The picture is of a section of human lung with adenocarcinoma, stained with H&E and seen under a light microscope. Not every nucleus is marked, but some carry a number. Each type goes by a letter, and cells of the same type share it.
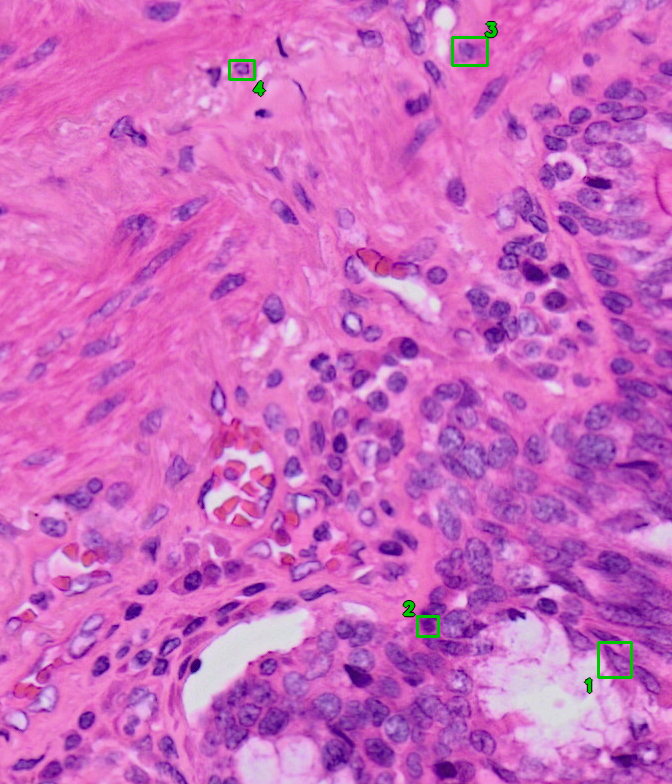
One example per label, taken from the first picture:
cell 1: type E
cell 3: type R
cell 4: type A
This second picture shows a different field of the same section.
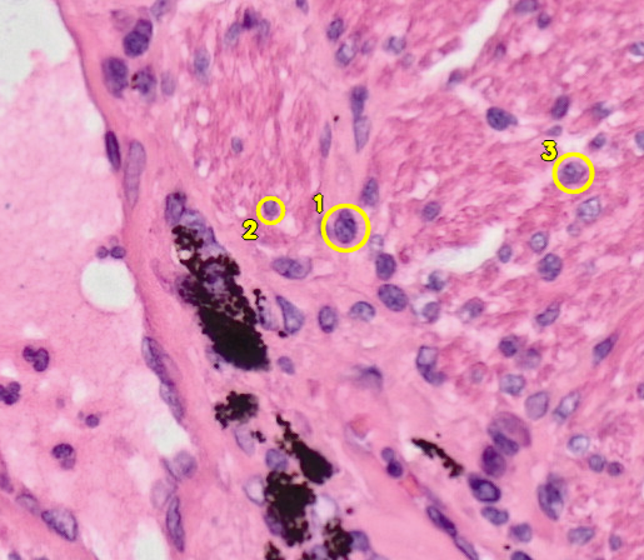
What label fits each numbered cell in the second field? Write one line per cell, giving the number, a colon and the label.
1: type A
2: type R
3: type R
